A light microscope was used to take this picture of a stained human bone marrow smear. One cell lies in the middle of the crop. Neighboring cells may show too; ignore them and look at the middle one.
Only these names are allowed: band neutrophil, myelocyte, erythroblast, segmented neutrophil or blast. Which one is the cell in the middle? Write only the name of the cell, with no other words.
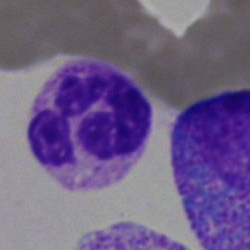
segmented neutrophil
